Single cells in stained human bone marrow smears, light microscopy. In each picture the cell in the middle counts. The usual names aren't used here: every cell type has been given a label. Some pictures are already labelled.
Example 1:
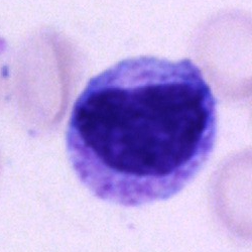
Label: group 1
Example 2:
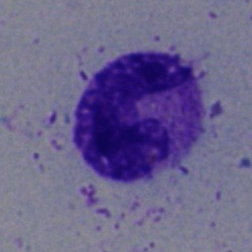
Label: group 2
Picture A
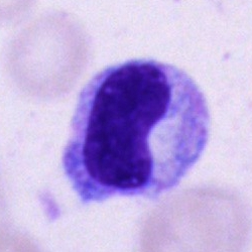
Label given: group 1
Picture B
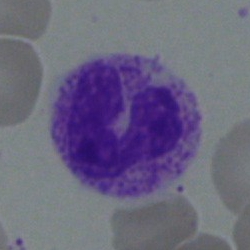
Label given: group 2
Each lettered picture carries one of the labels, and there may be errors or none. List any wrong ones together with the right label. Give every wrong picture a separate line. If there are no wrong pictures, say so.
All correct.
